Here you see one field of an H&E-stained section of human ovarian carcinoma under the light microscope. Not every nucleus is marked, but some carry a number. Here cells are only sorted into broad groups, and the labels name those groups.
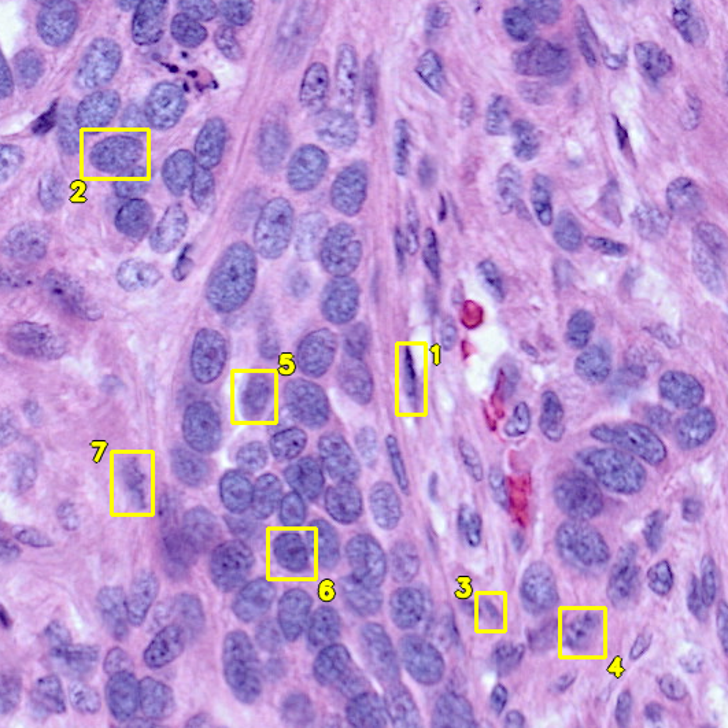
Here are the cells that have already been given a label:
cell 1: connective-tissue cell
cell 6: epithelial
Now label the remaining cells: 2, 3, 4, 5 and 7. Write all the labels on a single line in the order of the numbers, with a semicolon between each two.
epithelial; connective-tissue cell; connective-tissue cell; epithelial; connective-tissue cell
